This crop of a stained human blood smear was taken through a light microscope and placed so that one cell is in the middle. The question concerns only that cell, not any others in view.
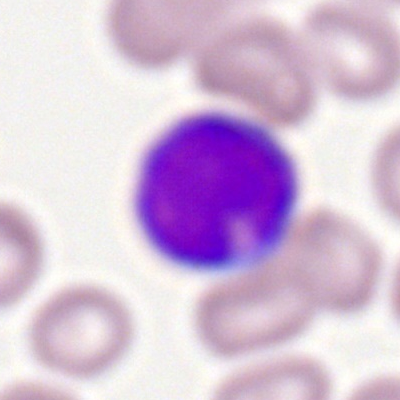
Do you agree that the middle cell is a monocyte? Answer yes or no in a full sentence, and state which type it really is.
No, what lies at the heart of the crop is a blast, not a monocyte.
